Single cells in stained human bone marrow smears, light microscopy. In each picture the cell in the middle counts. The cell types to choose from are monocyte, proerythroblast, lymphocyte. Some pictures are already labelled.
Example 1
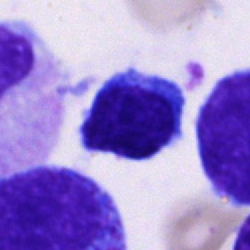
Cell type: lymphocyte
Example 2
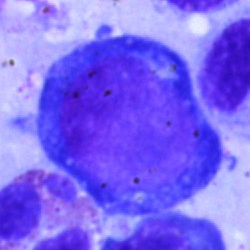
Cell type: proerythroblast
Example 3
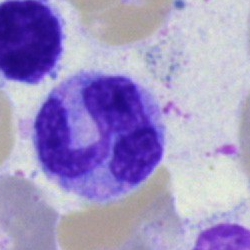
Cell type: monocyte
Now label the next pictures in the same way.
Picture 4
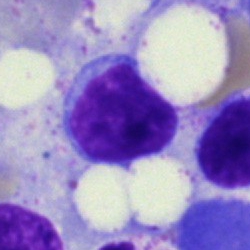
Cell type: lymphocyte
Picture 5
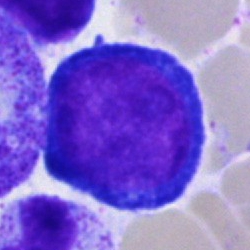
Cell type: proerythroblast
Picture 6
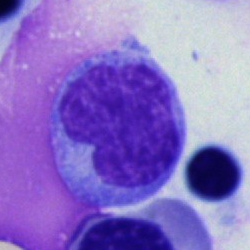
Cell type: monocyte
